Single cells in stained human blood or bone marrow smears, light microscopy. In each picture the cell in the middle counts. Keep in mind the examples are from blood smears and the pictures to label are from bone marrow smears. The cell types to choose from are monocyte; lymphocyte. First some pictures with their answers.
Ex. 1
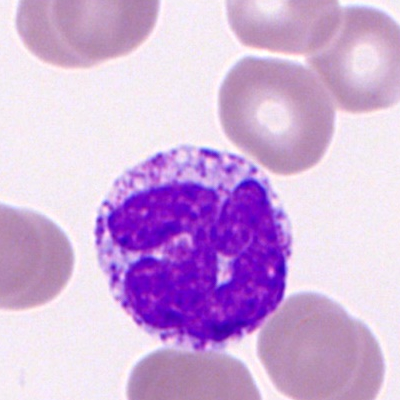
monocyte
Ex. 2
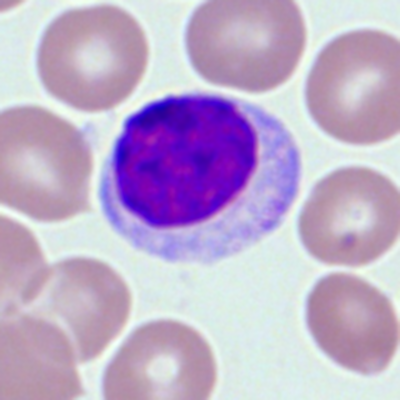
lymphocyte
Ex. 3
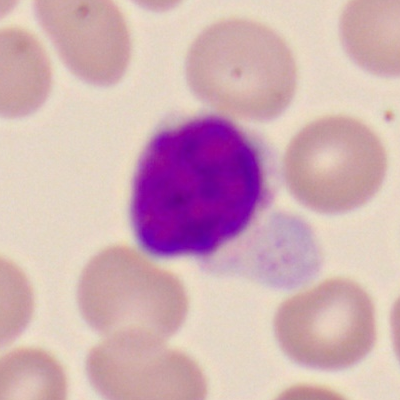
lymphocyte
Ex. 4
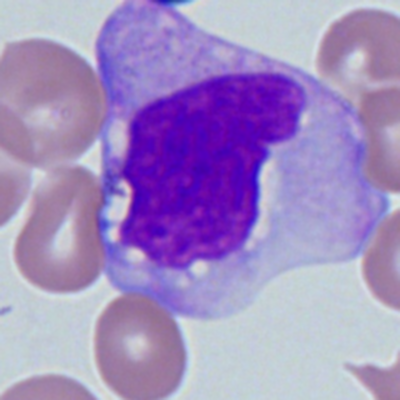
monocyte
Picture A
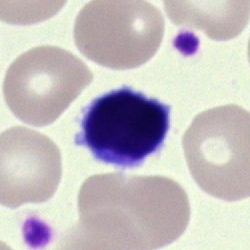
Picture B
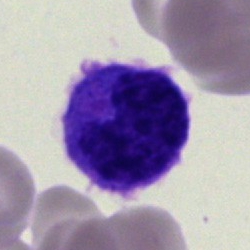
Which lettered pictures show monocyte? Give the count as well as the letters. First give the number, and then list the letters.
1, namely B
